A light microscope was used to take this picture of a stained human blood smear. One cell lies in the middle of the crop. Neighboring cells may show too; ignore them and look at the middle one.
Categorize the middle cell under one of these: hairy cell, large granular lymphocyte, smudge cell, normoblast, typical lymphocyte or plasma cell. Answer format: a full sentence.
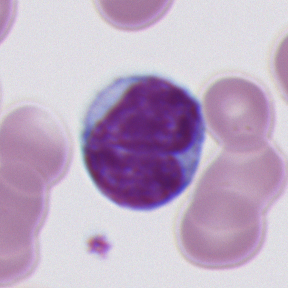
Here the cell in the middle is a typical lymphocyte.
